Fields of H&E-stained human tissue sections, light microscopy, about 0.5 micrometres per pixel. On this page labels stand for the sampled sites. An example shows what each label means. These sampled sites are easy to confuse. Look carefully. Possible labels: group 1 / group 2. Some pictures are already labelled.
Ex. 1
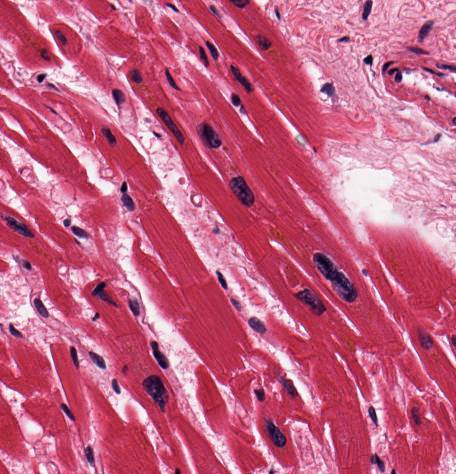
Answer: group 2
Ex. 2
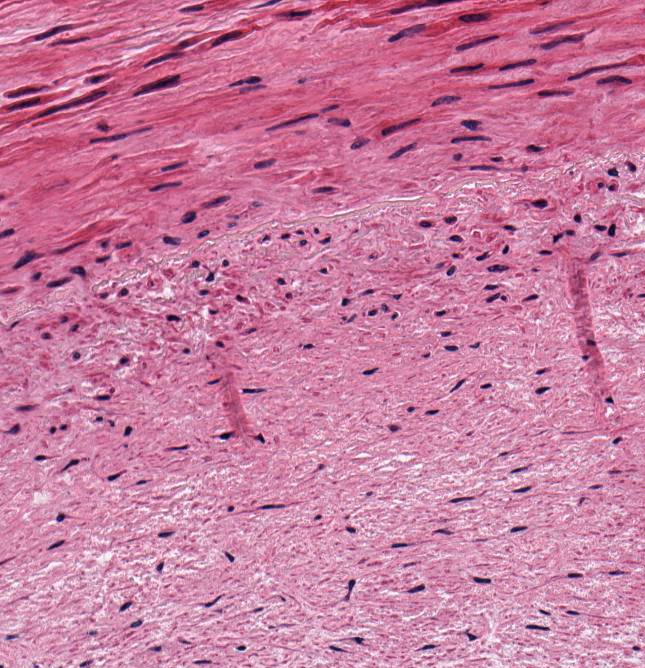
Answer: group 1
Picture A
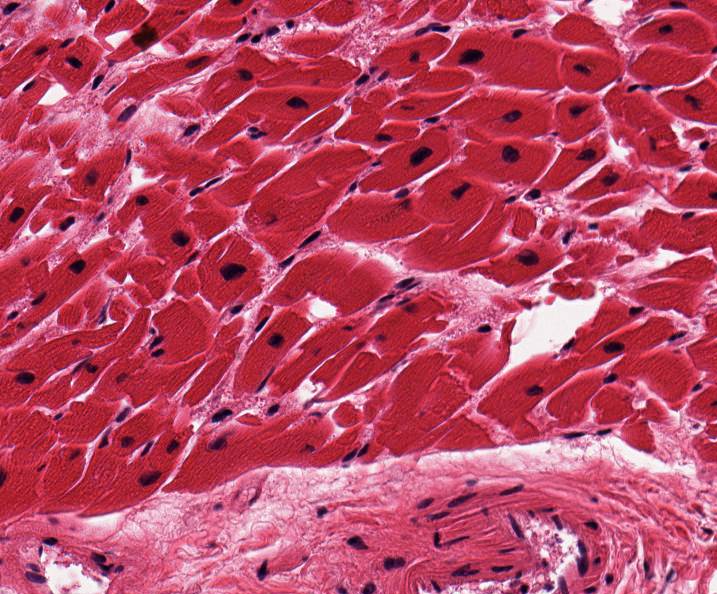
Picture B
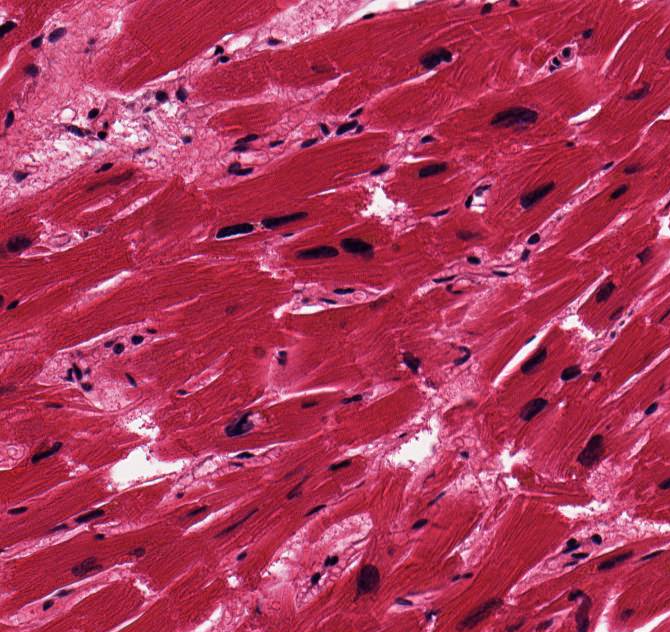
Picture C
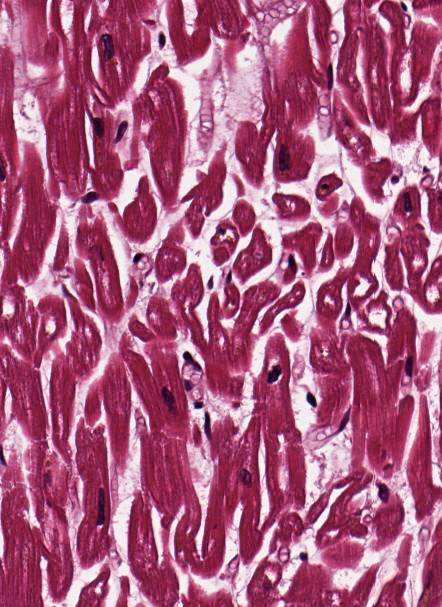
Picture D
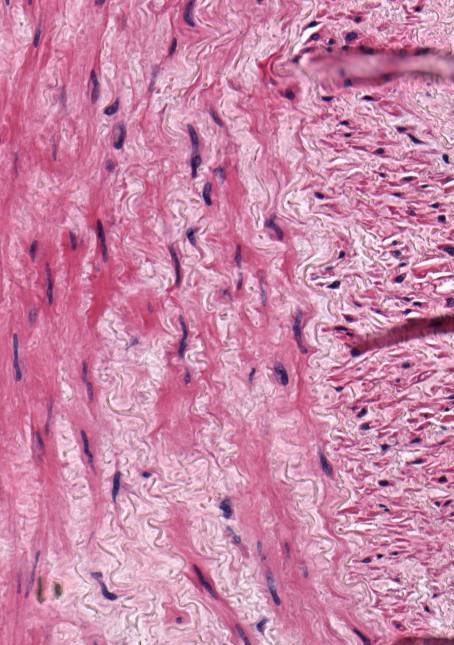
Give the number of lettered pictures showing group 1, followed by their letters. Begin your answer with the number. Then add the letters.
1: D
